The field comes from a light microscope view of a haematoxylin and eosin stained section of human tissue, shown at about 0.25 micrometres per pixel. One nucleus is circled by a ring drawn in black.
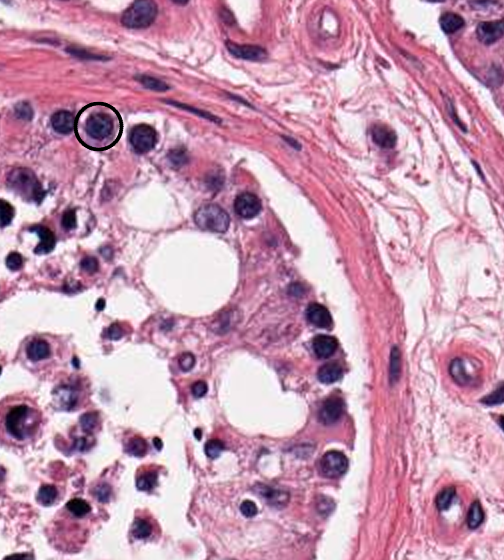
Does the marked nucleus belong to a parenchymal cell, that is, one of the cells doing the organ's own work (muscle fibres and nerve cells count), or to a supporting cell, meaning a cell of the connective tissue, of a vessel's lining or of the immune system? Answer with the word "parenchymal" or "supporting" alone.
parenchymal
